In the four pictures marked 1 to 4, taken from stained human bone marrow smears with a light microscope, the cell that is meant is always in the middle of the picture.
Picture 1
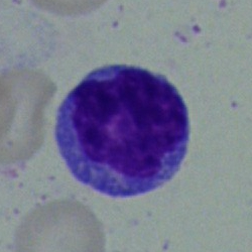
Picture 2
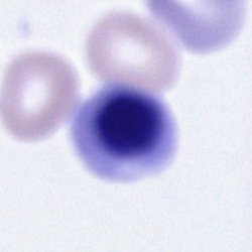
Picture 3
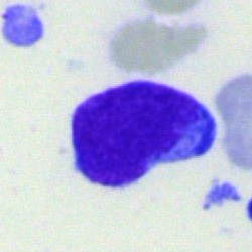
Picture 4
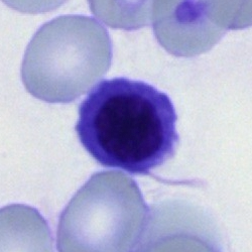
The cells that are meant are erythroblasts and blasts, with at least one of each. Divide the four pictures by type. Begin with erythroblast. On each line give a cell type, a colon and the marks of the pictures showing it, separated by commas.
erythroblast: 2, 4
blast: 1, 3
